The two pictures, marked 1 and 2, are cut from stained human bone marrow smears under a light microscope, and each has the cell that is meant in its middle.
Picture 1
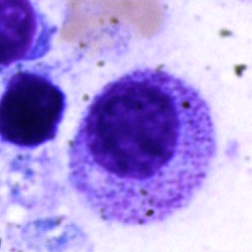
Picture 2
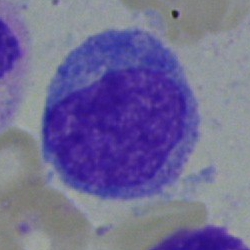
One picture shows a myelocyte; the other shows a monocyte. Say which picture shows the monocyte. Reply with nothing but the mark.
2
